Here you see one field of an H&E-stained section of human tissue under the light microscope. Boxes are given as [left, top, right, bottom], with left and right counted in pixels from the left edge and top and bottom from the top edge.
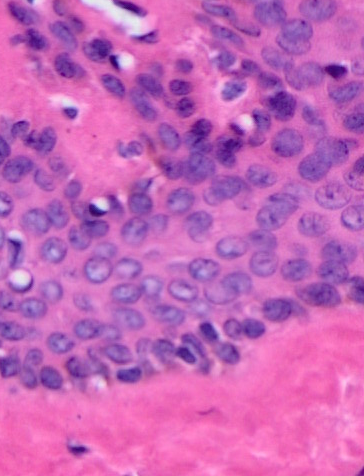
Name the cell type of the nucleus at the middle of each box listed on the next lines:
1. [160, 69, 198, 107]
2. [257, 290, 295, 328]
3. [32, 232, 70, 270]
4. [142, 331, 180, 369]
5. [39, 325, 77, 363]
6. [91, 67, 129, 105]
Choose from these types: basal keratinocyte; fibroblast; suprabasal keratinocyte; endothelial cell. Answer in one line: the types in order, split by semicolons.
basal keratinocyte; basal keratinocyte; suprabasal keratinocyte; basal keratinocyte; suprabasal keratinocyte; basal keratinocyte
